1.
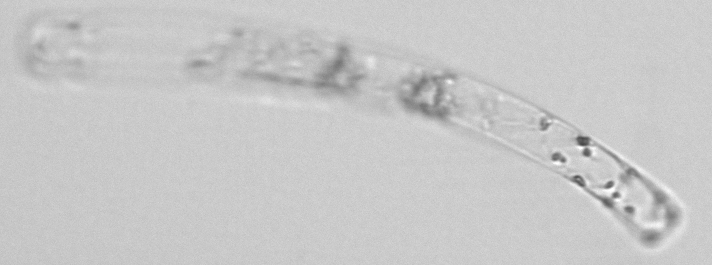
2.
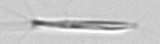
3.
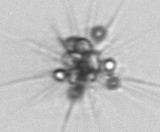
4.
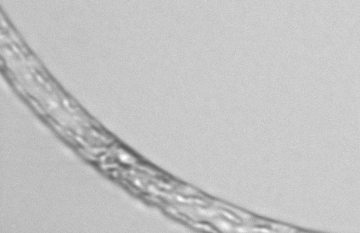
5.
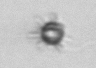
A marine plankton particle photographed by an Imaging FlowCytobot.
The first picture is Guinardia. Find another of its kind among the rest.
Picture 4.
